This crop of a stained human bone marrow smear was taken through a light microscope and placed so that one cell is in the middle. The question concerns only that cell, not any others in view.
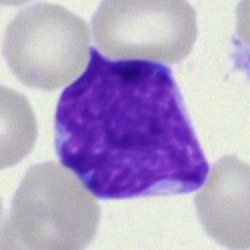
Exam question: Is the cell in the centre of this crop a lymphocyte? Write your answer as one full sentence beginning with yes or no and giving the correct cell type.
No, it isn't a lymphocyte; what sits in the middle is a blast.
